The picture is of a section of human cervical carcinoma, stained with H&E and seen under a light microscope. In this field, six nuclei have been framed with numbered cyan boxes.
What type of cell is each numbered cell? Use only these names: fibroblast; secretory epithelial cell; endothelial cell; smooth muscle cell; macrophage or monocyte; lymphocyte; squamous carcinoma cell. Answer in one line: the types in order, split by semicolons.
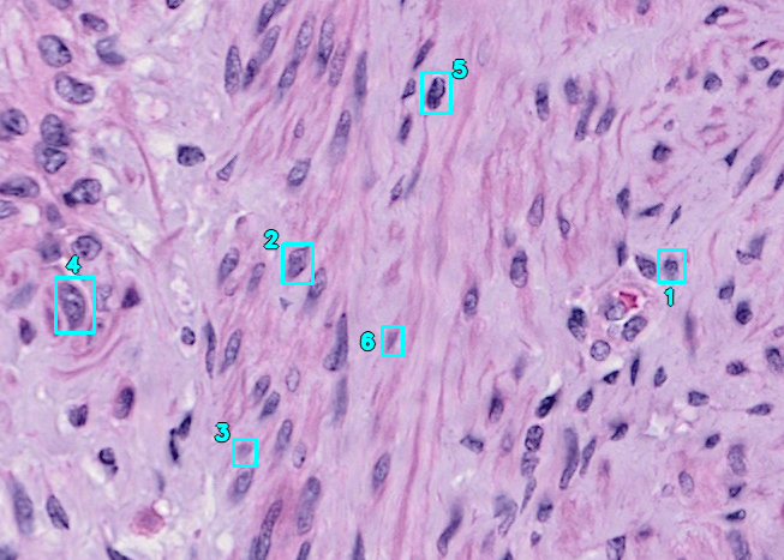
fibroblast; smooth muscle cell; smooth muscle cell; endothelial cell; lymphocyte; smooth muscle cell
